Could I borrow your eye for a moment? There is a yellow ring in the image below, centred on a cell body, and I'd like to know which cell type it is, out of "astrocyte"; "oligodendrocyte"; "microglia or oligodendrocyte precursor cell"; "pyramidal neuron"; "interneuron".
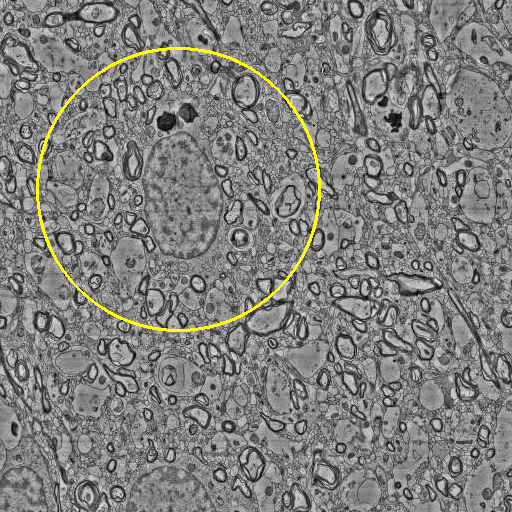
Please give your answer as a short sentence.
The cell body at the centre is that of an oligodendrocyte.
